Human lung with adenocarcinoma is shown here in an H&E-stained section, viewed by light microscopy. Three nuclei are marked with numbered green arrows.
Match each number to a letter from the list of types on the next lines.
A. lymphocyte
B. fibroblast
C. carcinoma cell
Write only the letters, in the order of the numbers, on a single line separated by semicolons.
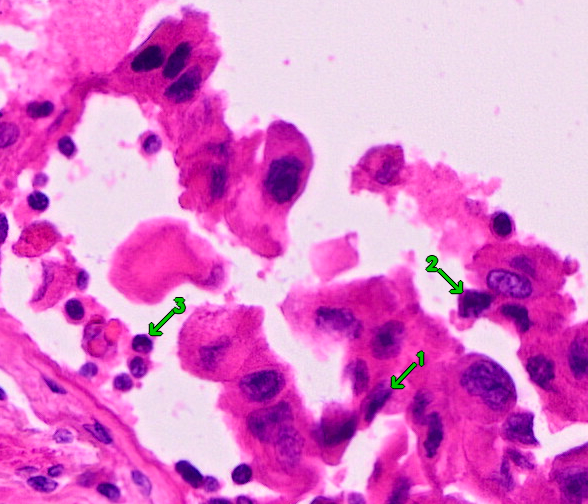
C; C; A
